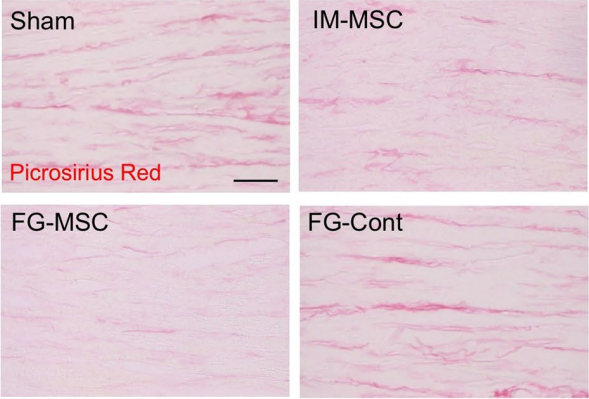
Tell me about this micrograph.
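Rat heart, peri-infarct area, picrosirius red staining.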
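The strands run roughly parallel to one another across the field, lying between the muscle fibres. The amount and thickness of the red strands differ between the four fields.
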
